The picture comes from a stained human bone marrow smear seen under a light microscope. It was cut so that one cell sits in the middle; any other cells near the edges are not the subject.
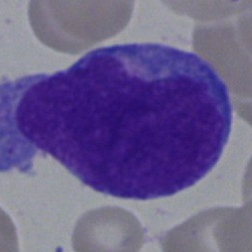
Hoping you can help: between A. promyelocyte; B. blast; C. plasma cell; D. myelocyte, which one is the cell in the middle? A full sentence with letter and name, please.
The one cell at the centre is a blast, as correctly stated in option B.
